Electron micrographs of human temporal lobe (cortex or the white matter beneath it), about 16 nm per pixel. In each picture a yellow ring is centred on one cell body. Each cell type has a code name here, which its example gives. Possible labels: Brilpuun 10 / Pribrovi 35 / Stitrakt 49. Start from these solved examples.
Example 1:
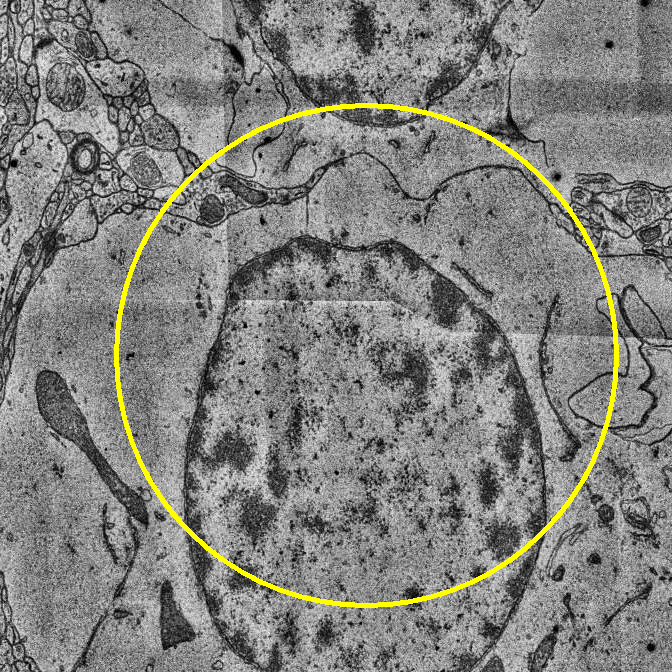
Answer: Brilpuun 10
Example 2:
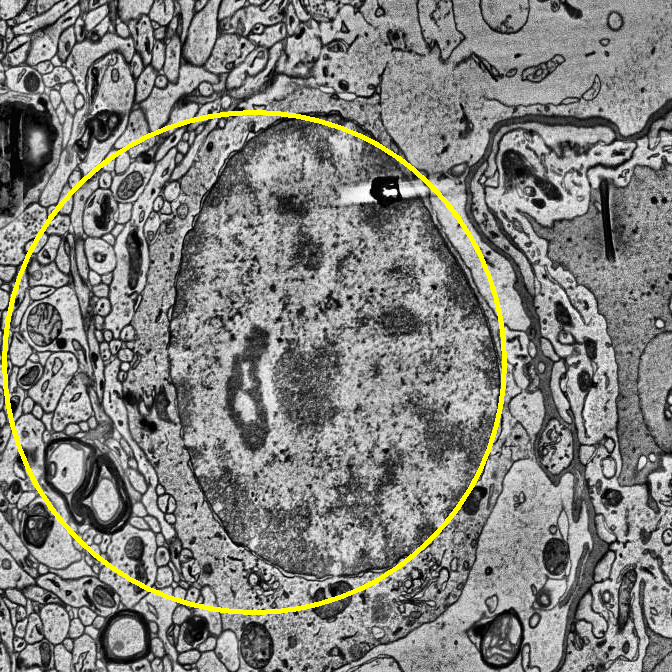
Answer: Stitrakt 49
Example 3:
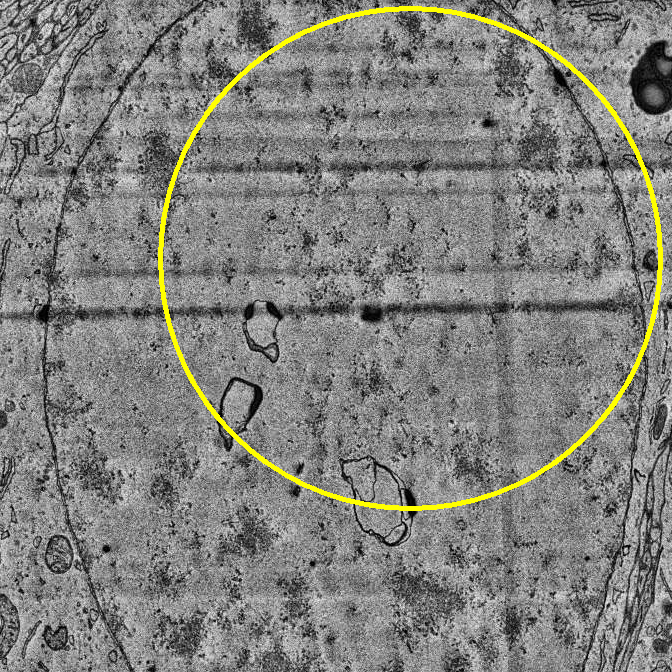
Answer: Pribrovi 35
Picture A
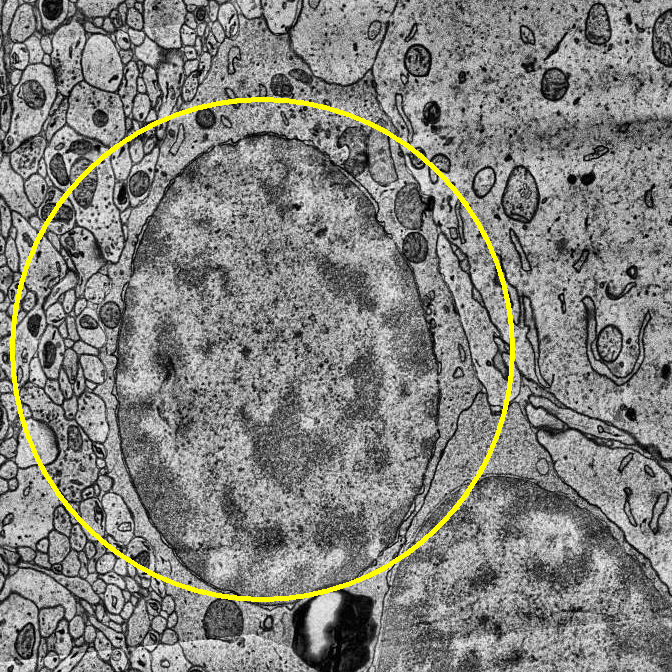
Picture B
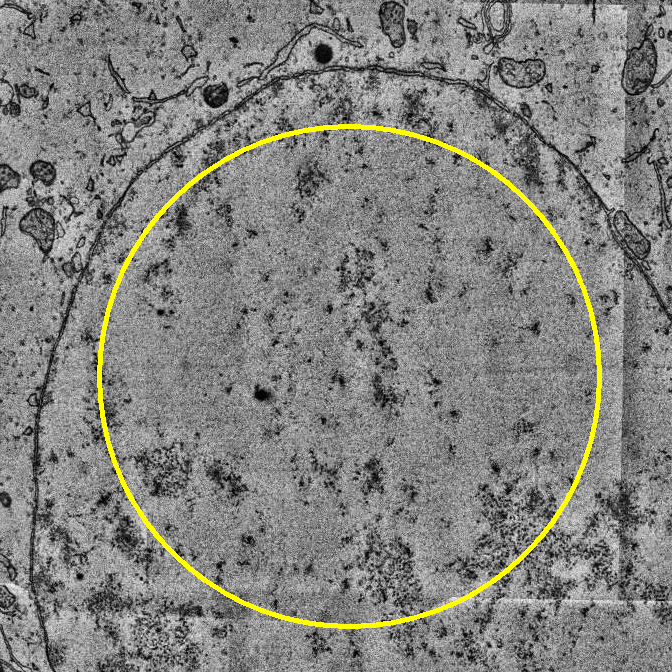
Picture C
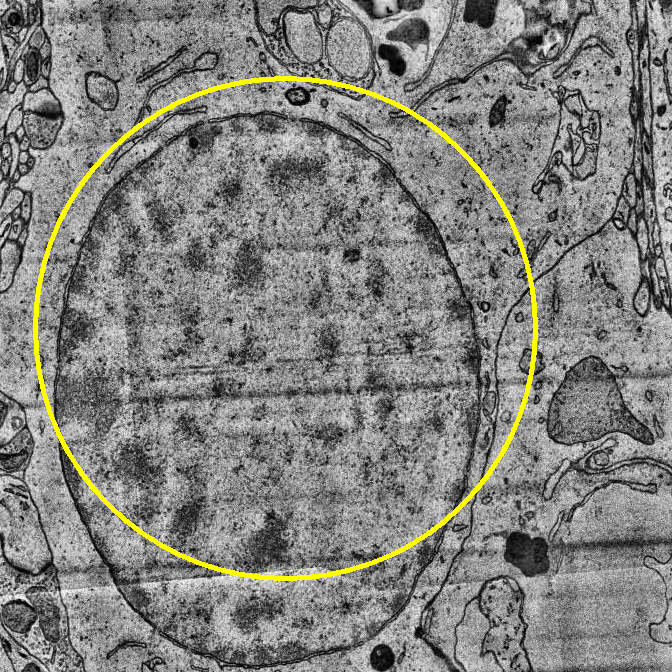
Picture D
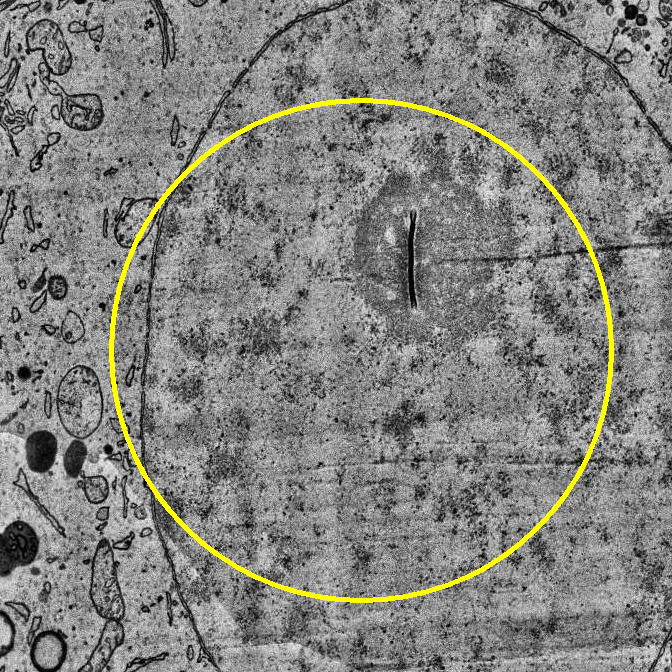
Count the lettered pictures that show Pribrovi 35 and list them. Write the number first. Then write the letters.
Count: 2 (B, D)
